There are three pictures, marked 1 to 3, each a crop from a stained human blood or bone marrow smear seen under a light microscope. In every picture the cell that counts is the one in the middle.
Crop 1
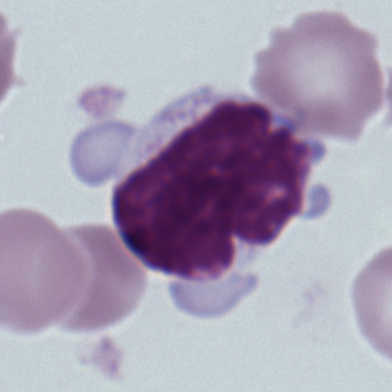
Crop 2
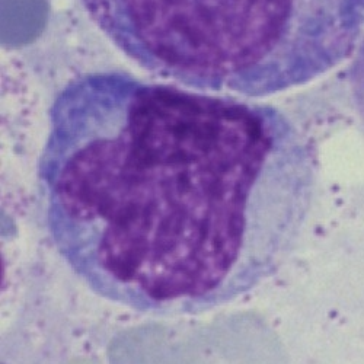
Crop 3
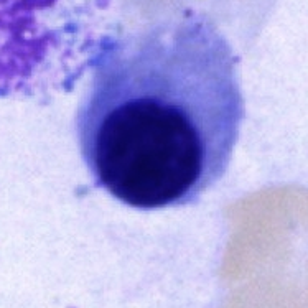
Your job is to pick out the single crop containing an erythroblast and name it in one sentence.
When the crops are compared, crop 3 is the one showing an erythroblast.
